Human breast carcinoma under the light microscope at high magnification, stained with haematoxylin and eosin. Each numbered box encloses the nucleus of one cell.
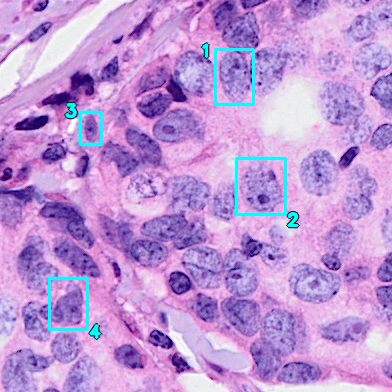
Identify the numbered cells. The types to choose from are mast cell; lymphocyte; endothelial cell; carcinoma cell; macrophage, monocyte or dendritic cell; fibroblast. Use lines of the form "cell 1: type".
cell 1: carcinoma cell
cell 2: carcinoma cell
cell 3: macrophage, monocyte or dendritic cell
cell 4: carcinoma cell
